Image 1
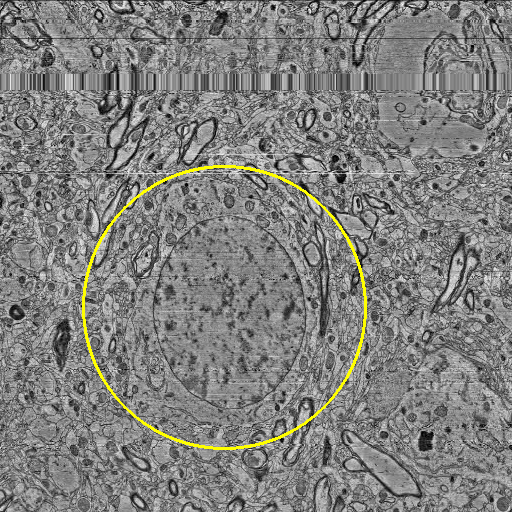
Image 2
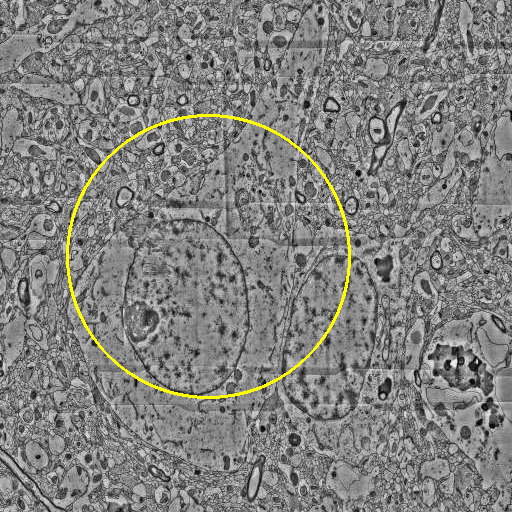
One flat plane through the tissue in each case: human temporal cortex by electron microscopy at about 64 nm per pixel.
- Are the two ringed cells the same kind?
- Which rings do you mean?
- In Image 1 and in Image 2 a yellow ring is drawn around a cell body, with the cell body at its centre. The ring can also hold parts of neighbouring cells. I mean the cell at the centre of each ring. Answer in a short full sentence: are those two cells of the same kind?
Yes, both cells are of the same kind.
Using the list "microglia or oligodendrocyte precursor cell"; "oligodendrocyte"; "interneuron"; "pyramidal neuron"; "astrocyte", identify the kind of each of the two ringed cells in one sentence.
In each of the two pictures, the ringed cell is a pyramidal neuron.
